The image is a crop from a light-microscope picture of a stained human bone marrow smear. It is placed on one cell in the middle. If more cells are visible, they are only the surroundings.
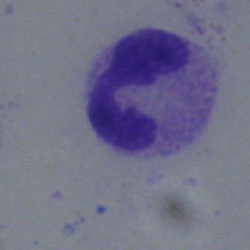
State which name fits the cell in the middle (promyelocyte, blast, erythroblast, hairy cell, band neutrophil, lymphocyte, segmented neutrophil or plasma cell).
segmented neutrophil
